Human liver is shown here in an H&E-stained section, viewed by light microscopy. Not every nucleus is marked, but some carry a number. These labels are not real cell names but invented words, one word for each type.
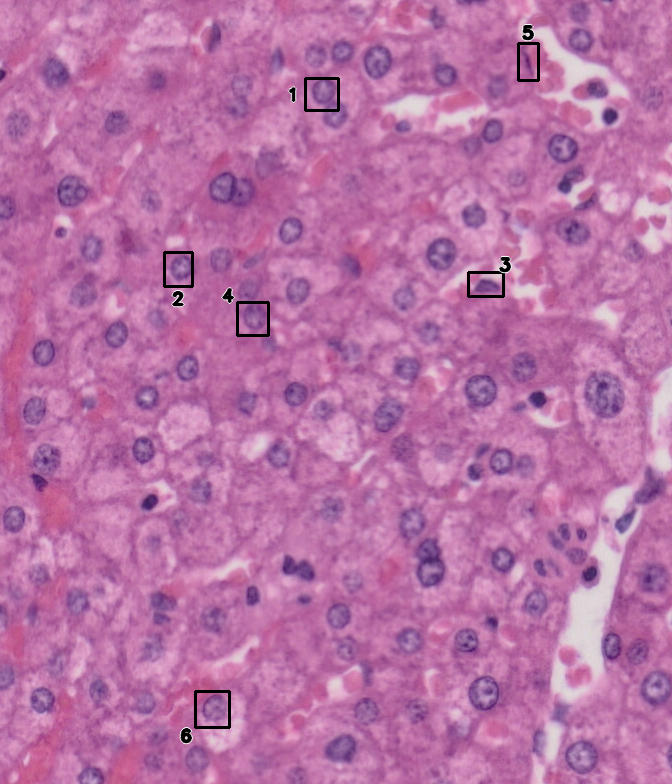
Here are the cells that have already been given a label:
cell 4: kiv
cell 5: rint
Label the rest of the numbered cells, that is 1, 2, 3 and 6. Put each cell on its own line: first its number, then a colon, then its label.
1: kiv
2: kiv
3: rint
6: kiv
